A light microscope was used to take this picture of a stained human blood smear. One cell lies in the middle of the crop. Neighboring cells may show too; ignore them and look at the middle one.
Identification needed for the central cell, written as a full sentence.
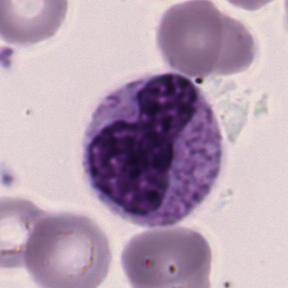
The target cell in the middle of the crop is a band neutrophil.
